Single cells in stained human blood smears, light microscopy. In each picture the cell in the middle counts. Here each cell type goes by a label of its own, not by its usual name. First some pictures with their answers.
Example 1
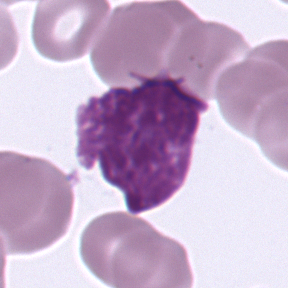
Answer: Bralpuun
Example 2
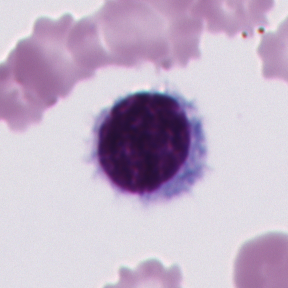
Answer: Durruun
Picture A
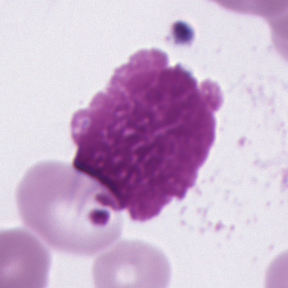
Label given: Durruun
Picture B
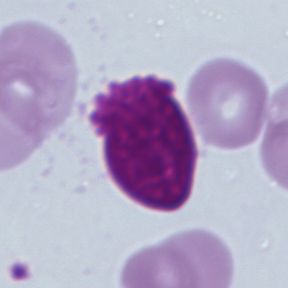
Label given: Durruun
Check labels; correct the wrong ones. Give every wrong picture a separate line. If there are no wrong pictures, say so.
A is labelled Durruun; correct label: Bralpuun
B is labelled Durruun; correct label: Bralpuun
